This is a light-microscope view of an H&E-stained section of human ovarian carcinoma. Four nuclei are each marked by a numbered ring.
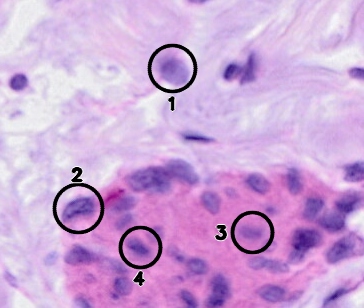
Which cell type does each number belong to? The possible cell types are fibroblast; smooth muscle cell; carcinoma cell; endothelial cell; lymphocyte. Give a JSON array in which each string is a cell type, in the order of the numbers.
["fibroblast", "endothelial cell", "smooth muscle cell", "smooth muscle cell"]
